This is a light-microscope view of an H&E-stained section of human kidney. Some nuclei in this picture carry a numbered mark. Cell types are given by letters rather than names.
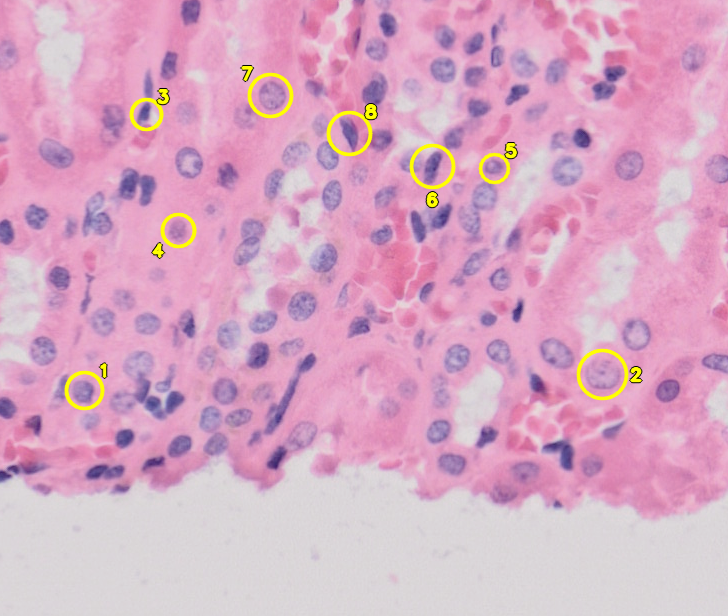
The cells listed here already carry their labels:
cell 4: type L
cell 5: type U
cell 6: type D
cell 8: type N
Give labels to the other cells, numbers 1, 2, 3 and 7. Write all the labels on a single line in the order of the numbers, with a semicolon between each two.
type D; type L; type N; type L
